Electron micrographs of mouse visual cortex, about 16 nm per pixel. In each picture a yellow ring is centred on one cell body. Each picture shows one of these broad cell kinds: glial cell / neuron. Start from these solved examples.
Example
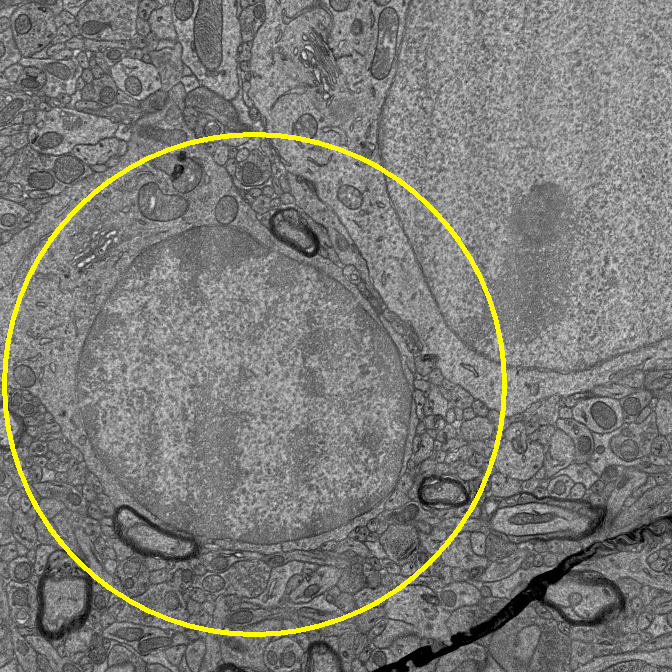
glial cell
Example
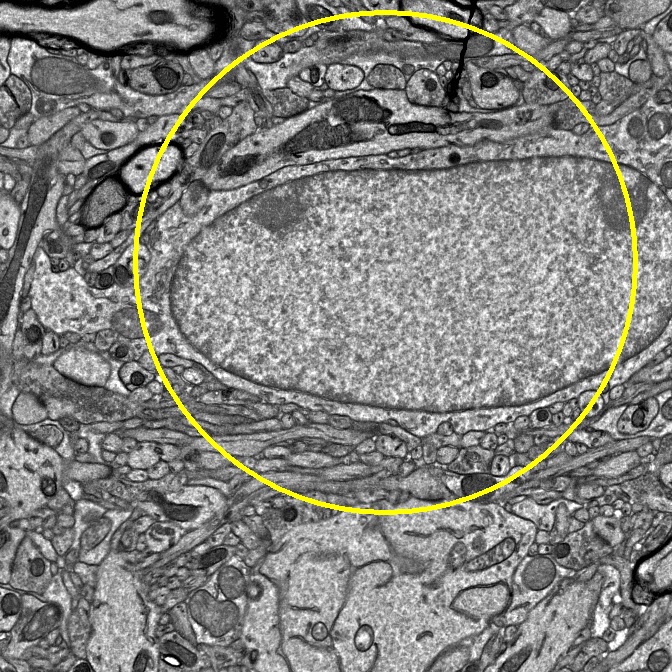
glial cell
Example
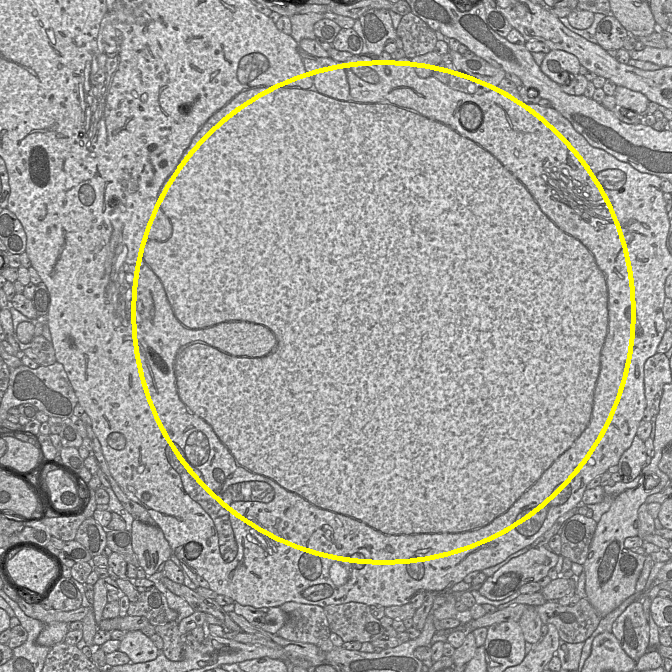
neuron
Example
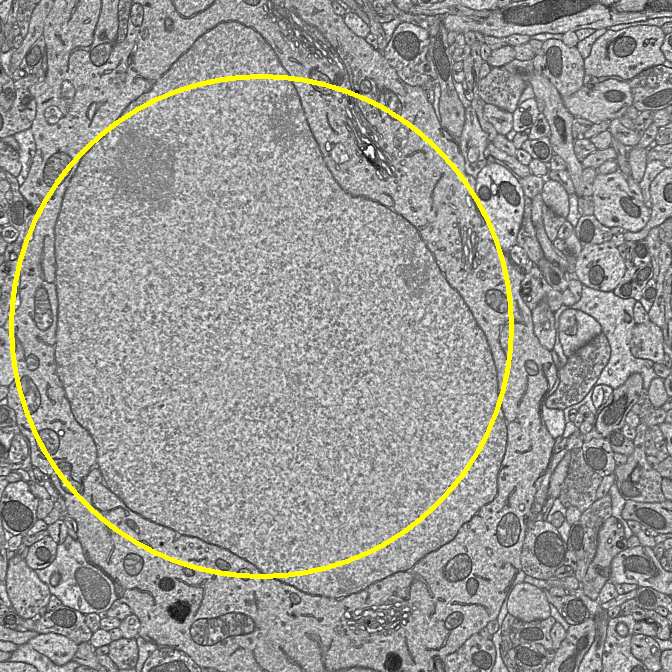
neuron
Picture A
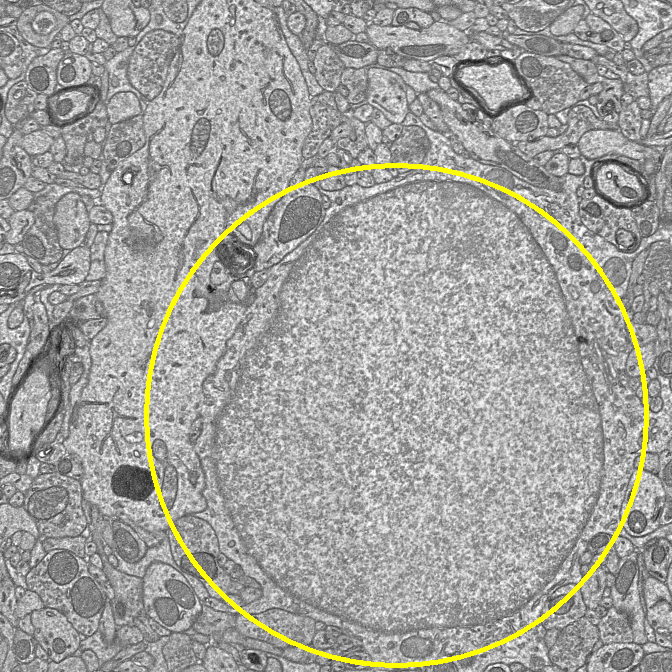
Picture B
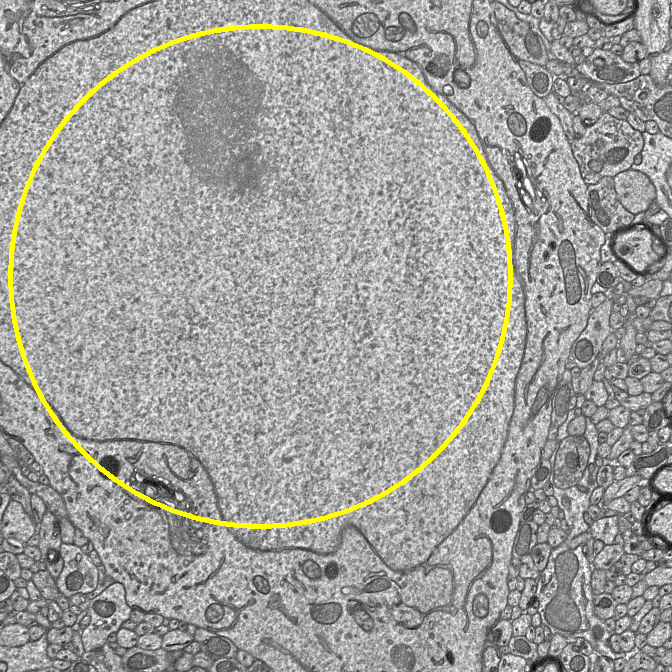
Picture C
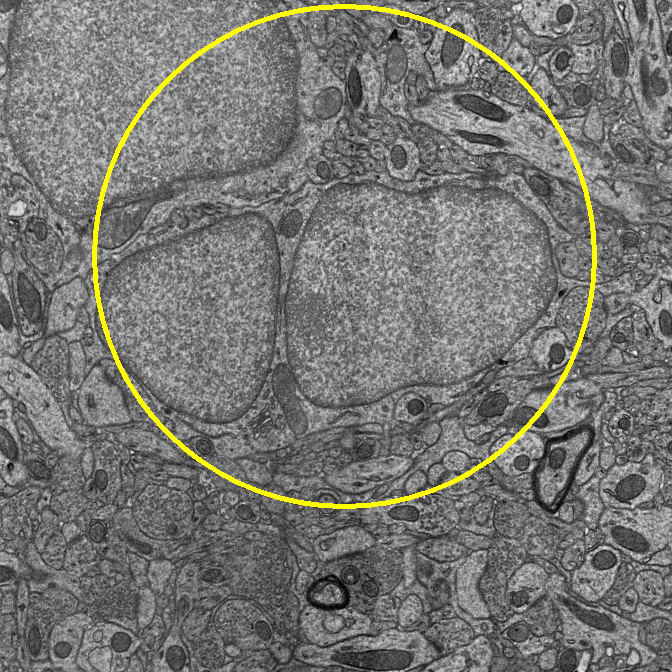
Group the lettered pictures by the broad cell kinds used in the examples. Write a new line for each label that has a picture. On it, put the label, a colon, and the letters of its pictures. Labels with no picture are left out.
glial cell: A, C
neuron: B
